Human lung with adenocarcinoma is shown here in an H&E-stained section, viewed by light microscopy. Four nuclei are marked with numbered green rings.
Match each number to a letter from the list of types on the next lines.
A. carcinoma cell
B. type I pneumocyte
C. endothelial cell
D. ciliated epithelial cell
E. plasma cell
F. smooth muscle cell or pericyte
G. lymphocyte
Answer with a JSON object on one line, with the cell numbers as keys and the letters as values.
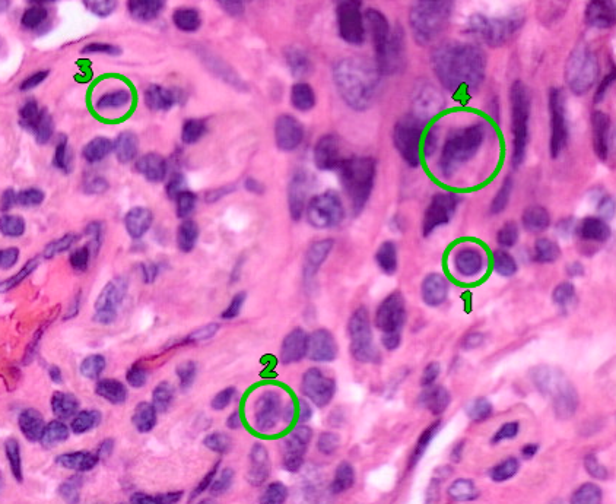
{"1": "G", "2": "G", "3": "G", "4": "A"}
